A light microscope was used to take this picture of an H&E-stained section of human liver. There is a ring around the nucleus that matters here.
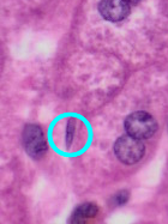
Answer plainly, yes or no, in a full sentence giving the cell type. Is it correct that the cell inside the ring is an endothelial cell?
Yes, it is accurate to say that the cell inside the ring is an endothelial cell.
